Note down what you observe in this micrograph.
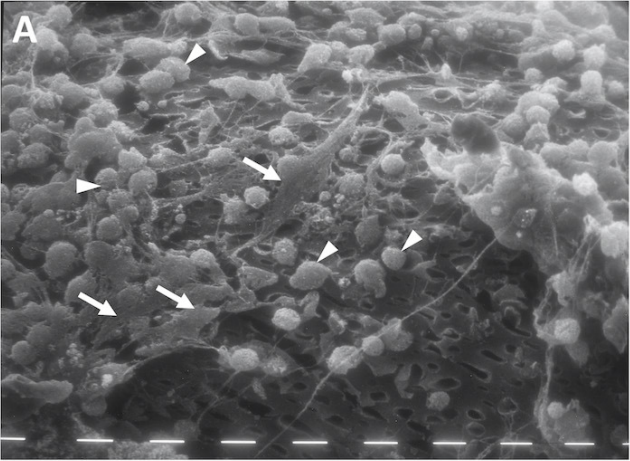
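Scanning electron micrograph of cells on a porous scaffold, most of them small round cells scattered over the surface, with a few flattened, elongated fibroblast-like cells spread among them. The scaffold surface shows many oval pores, and a few thin strands cross between the cells.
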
